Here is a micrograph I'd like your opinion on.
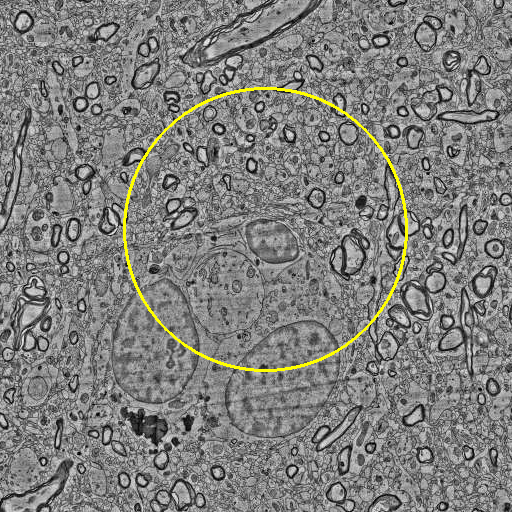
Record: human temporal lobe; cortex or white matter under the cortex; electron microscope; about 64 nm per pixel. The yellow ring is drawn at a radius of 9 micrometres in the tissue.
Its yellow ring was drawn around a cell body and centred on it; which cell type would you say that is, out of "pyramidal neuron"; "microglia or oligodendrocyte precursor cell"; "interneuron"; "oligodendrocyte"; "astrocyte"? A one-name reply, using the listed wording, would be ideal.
microglia or oligodendrocyte precursor cell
